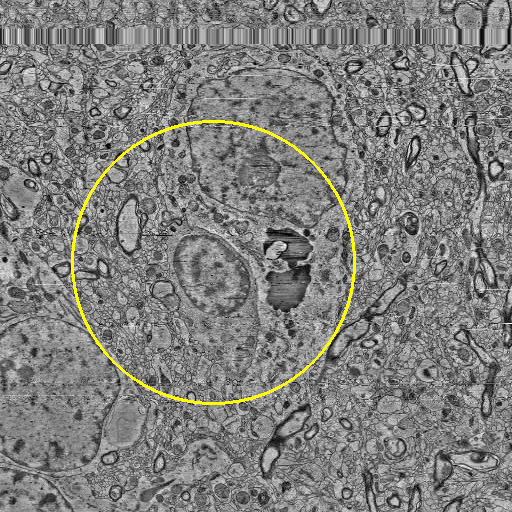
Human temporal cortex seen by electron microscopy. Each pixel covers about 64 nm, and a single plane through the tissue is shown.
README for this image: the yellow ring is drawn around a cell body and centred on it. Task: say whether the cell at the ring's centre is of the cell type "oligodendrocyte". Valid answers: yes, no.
yes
